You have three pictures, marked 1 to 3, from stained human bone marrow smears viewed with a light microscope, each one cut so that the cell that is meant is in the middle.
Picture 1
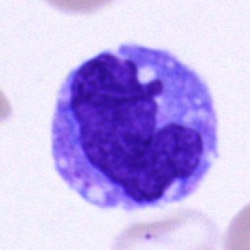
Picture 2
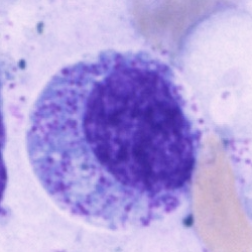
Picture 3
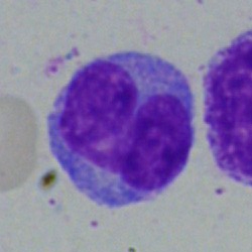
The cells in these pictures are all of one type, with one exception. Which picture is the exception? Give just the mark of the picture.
2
